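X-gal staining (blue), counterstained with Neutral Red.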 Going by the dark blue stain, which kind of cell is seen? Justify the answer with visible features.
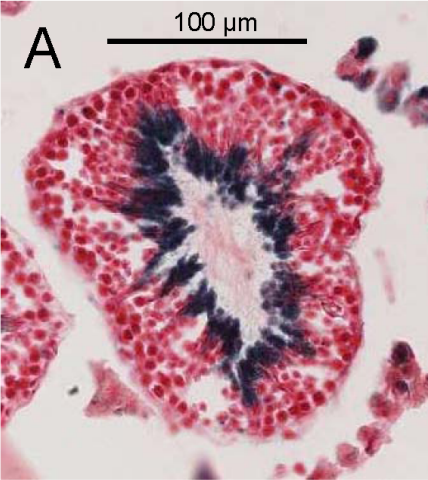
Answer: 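Blue stain lies only in the innermost layer next to the lumen. Blue material forms elongated strands projecting into the lumen.
Conclusion: spermatids and spermatozoa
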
